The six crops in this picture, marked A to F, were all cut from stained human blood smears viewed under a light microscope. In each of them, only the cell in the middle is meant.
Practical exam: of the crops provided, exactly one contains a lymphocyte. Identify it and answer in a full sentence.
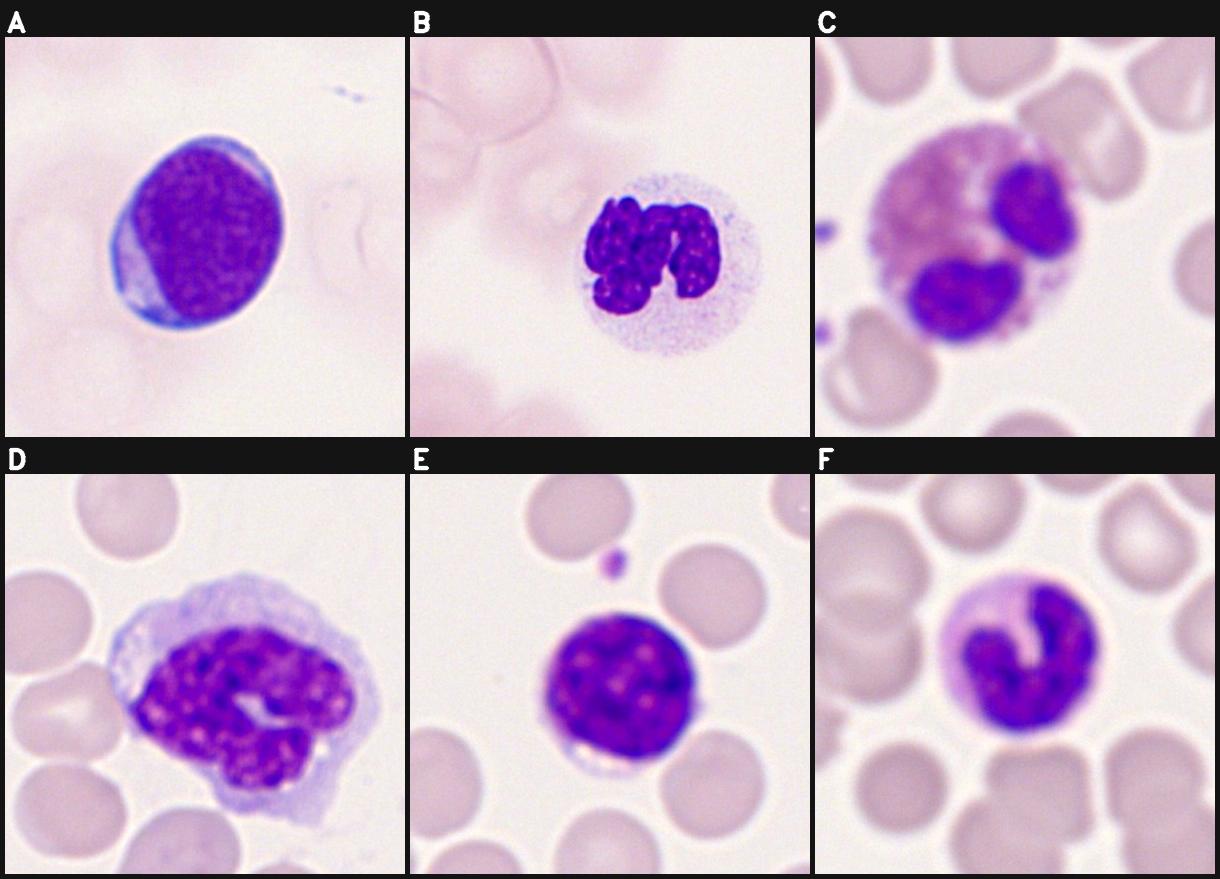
The crop marked E is the one that shows a lymphocyte.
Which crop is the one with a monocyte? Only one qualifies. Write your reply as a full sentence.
Crop D is the correct crop, and it shows a monocyte.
